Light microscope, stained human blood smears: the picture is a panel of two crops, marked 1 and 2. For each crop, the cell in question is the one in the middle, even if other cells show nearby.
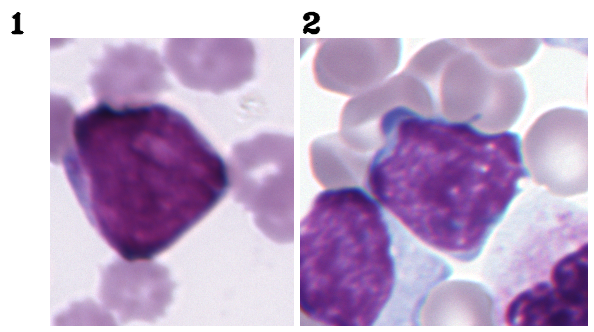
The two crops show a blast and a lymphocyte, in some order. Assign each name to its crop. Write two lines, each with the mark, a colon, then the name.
1: blast
2: lymphocyte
